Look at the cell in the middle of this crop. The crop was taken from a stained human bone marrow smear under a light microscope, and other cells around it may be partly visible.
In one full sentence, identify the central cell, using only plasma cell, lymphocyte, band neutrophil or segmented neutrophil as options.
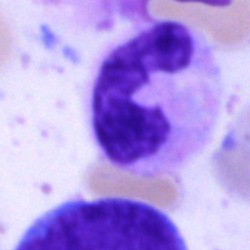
Within this crop, a band neutrophil occupies the central position.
